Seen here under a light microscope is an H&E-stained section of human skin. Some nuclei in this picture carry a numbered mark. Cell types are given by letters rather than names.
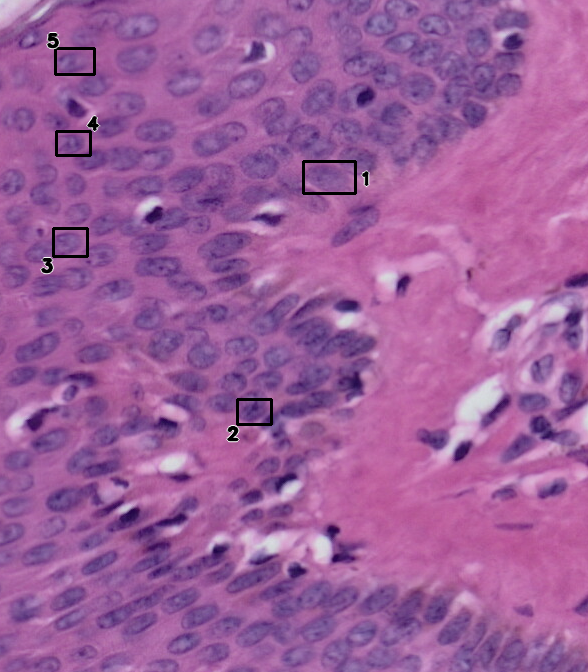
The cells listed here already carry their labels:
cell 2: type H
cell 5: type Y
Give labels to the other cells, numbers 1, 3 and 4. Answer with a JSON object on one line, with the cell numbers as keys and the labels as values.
{"1": "type H", "3": "type Y", "4": "type Y"}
